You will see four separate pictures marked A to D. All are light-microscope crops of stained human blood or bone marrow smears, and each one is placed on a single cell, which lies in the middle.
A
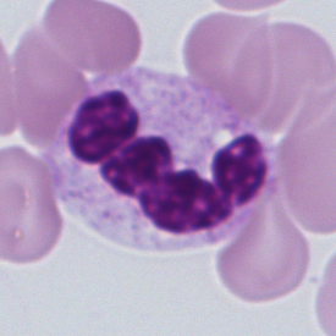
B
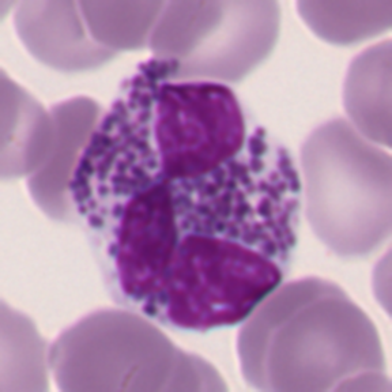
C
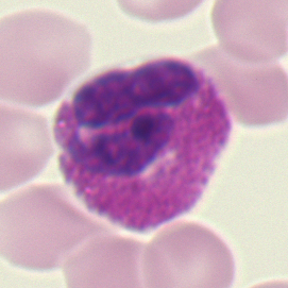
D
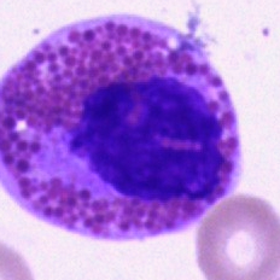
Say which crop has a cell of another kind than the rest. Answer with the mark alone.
A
